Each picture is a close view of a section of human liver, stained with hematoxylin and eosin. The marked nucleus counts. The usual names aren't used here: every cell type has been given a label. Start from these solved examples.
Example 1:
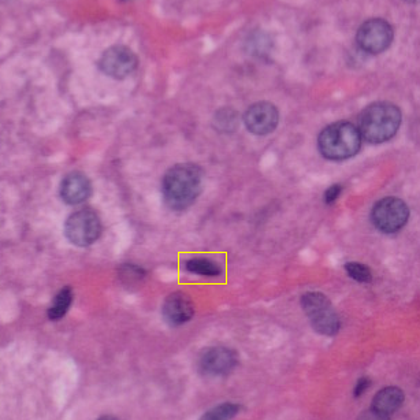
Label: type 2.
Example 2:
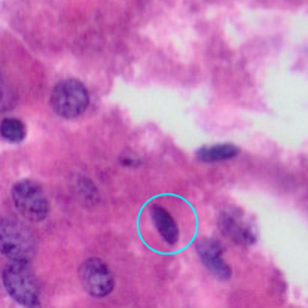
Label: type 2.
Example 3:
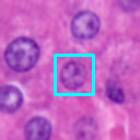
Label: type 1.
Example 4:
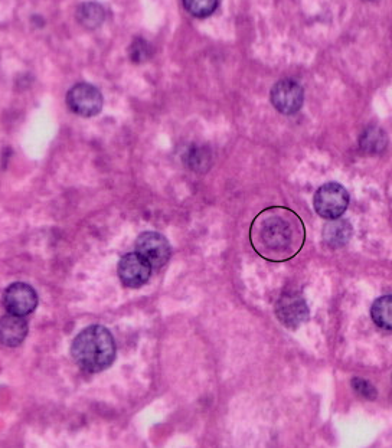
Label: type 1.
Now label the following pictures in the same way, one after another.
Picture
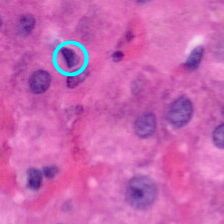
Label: type 2.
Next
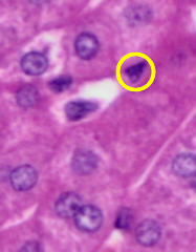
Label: type 2.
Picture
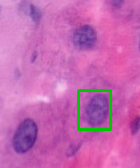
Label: type 1.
